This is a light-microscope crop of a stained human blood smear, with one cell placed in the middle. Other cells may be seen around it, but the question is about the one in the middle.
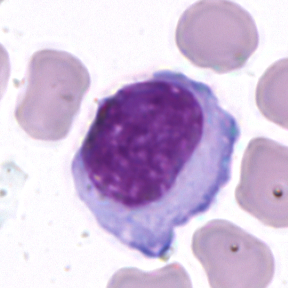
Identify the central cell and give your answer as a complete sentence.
Classification of the middle cell gives a plasma cell.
